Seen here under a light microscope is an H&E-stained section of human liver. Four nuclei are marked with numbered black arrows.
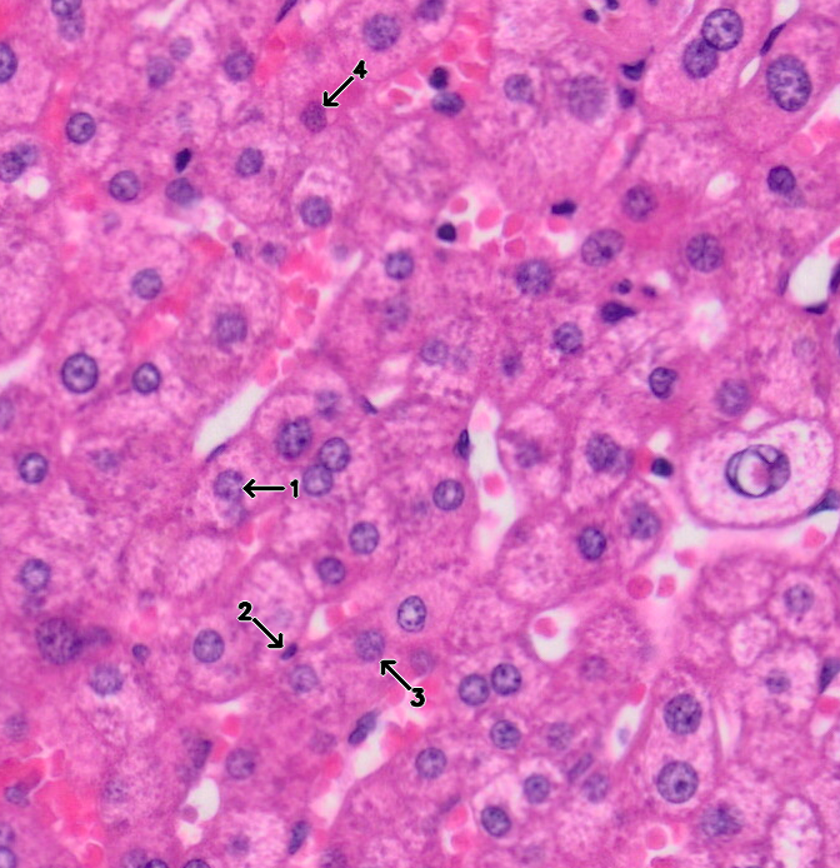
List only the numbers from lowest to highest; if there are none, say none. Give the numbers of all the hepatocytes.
1, 3, 4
